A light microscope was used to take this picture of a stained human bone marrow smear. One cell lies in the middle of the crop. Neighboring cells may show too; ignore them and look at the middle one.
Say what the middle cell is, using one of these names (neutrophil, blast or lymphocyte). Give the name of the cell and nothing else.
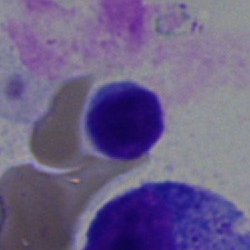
lymphocyte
